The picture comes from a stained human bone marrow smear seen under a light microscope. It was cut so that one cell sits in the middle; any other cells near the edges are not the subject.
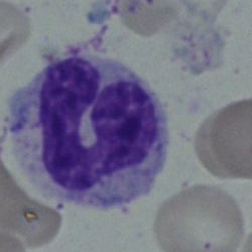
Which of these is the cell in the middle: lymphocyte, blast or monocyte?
monocyte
